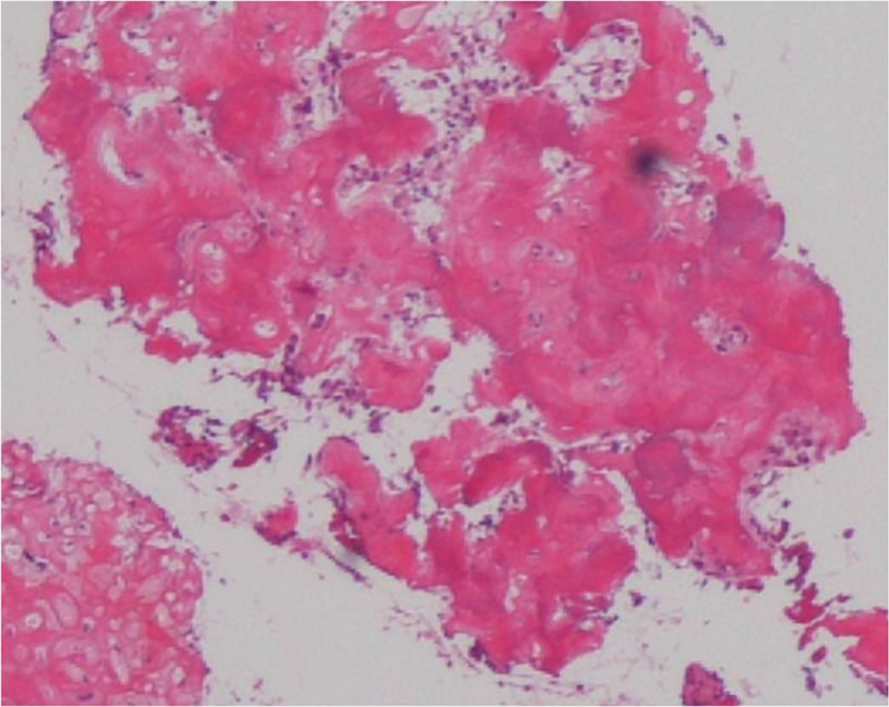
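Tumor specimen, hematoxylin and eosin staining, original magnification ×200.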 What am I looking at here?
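The trabeculae are irregular, broad, and deeply pink, and they join each other in an anastomosing network. Small cells sit in lacunae scattered through the pink matrix. Between the trabeculae lies loose tissue containing many small cells with purple nuclei. Some of these cells lie along the surfaces of the pink matrix. A separate fragment in the lower left corner shows pink matrix with many closely packed pale lacunae.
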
